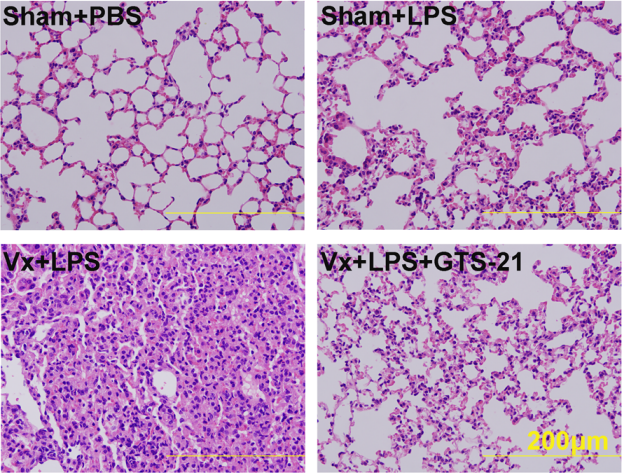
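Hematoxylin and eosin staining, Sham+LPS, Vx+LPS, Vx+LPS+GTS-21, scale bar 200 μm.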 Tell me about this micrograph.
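Four fields of lung tissue, stained pink with purple nuclei, lie side by side. In the upper left field, thin pink alveolar walls outline wide, open air spaces, and only a few nuclei sit in the septa. In the upper right field, the walls are thicker and more crowded with purple nuclei, and the air spaces are smaller. In the lower left field, the air spaces are nearly gone. The tissue looks almost solid and is packed with nuclei, a consolidated, heavily injured lung. The lower right field again shows many open alveoli, with walls only moderately thickened.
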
